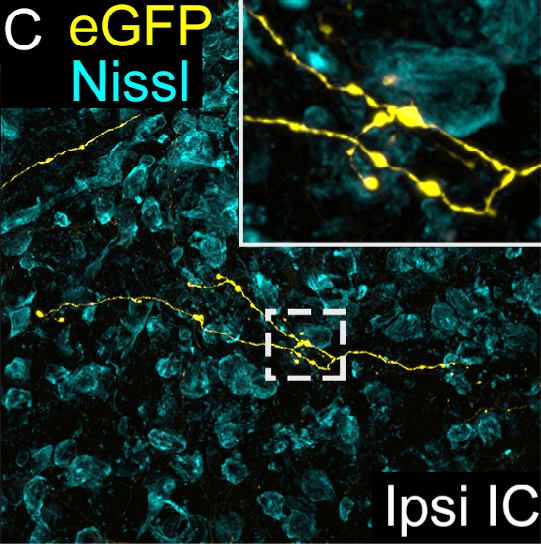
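The yellow axons are fine, long and beaded with small varicosities. In the enlarged inset, several yellow fibers with bead-like boutons run alongside a cyan cell body. Some boutons sit in the neuropil between cells.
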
